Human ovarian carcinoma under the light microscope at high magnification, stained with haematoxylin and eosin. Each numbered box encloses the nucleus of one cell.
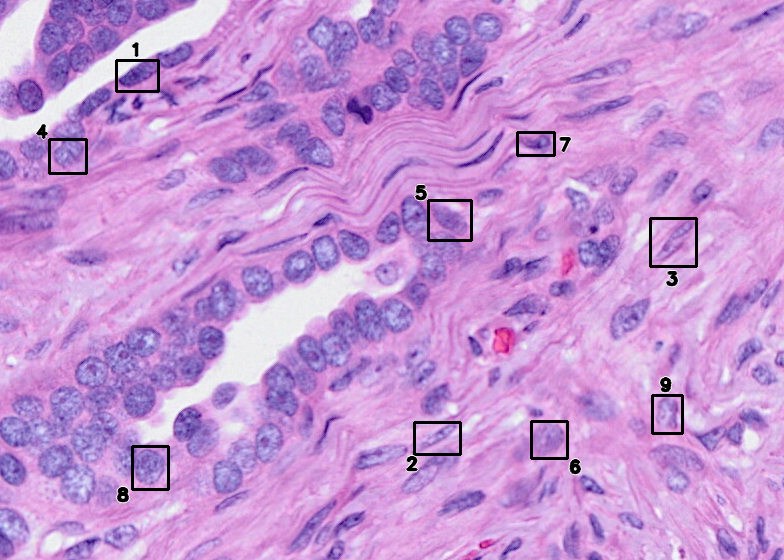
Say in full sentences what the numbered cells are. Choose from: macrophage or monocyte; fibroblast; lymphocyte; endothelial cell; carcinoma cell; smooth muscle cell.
Cell 1 is a carcinoma cell, cell 2 is a fibroblast, cell 3 is a fibroblast, cell 4 is a carcinoma cell, cell 5 is a carcinoma cell, cell 6 is a fibroblast, cell 7 is a fibroblast, cell 8 is a carcinoma cell and cell 9 is a fibroblast.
